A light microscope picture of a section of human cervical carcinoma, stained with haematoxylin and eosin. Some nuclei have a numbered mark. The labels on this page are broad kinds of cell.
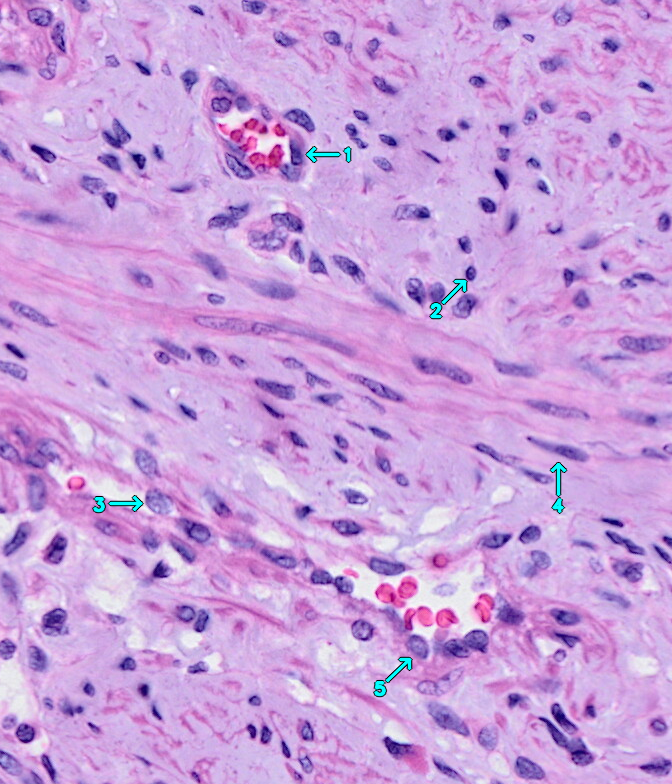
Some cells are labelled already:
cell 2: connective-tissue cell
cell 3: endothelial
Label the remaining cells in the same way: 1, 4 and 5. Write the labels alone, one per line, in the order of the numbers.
endothelial
connective-tissue cell
endothelial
